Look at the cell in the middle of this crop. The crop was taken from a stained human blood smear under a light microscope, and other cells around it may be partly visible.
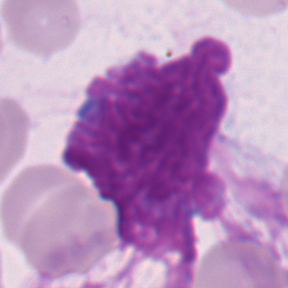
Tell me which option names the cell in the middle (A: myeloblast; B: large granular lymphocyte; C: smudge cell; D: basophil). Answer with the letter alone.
C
